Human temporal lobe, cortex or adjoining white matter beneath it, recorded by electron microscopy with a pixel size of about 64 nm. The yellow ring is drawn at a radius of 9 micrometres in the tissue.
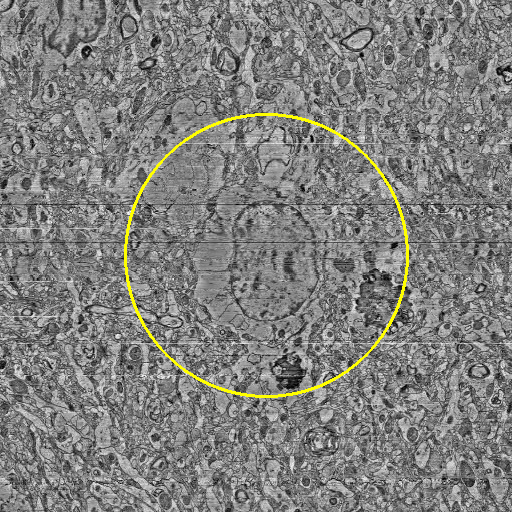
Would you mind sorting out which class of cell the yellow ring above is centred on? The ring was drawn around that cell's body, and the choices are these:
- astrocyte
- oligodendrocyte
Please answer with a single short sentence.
This is the cell body of an astrocyte.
